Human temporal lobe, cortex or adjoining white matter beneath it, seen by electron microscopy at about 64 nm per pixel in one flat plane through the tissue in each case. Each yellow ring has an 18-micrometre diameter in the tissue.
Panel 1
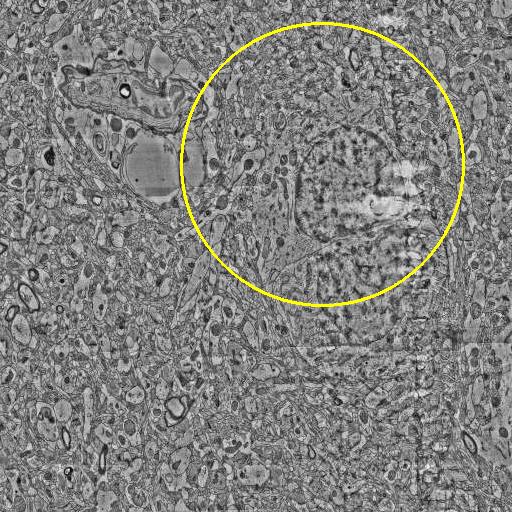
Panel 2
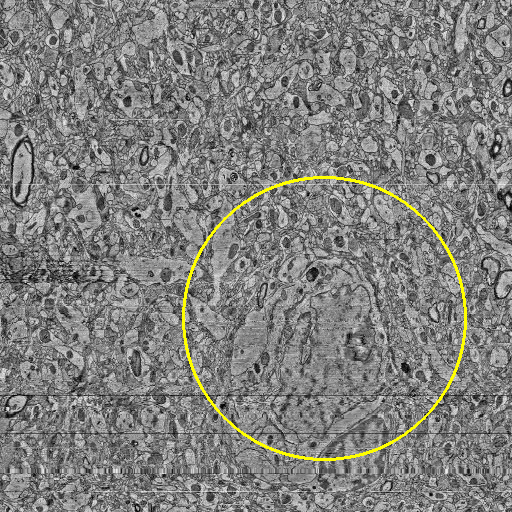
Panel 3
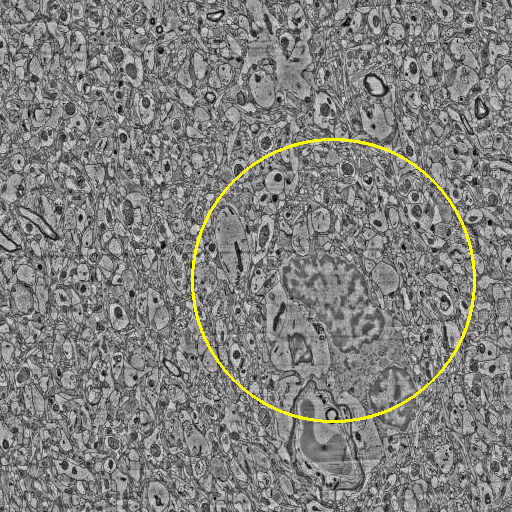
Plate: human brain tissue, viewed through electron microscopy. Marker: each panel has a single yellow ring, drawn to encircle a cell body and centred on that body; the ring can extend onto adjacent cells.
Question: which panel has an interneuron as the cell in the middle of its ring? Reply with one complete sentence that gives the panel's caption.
Panel 2 is where the requested cell sits at the centre of the ring.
